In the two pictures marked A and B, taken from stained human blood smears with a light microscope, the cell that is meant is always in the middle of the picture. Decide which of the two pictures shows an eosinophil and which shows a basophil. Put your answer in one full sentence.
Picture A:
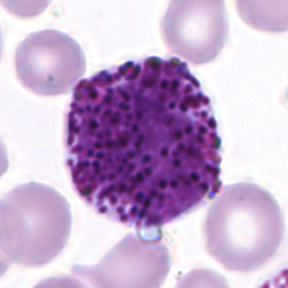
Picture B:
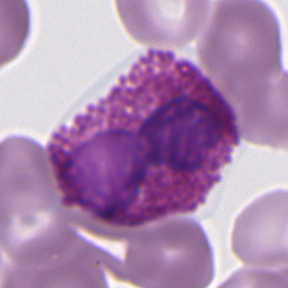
Picture A is of a basophil, and picture B is of an eosinophil.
